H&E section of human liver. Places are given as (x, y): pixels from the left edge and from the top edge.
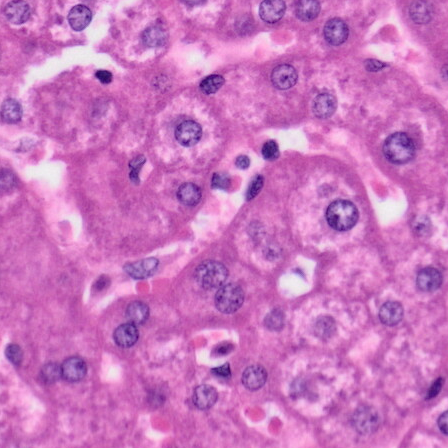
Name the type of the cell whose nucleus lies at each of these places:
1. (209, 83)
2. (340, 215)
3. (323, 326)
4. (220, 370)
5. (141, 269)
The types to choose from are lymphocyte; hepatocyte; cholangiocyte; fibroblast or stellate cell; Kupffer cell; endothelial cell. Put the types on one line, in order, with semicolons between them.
fibroblast or stellate cell; hepatocyte; hepatocyte; fibroblast or stellate cell; Kupffer cell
